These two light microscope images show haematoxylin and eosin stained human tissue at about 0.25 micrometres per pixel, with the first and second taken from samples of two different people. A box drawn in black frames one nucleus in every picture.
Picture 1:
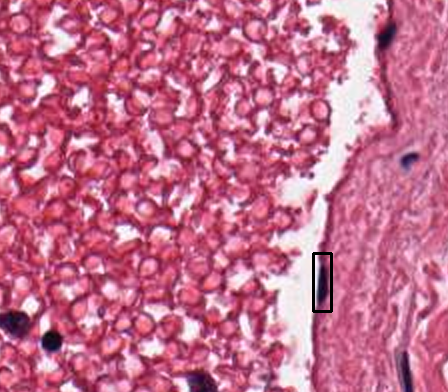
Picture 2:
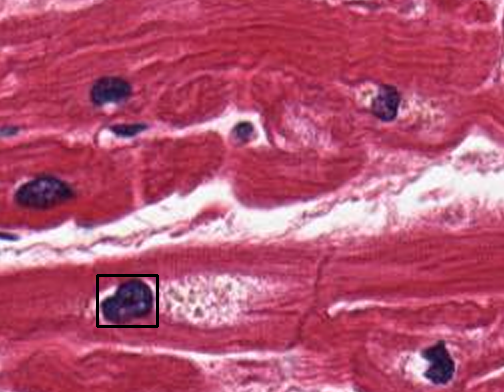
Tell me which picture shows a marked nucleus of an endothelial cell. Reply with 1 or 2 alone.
1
